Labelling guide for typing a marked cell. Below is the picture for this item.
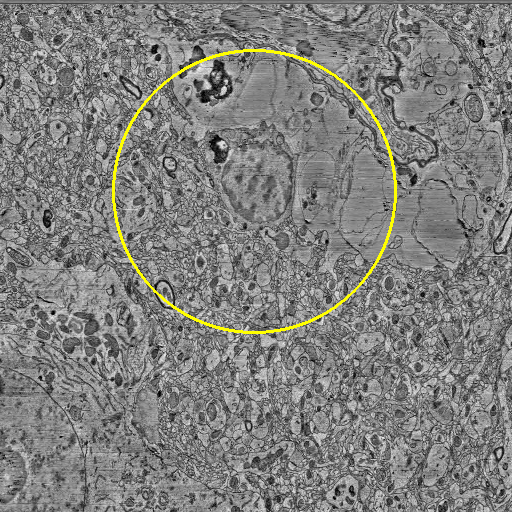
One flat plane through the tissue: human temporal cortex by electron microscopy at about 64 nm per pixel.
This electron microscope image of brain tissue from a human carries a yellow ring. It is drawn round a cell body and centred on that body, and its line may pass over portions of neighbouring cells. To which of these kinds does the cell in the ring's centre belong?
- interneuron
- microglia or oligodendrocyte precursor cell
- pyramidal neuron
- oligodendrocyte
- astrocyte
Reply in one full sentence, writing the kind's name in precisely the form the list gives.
Here we have an oligodendrocyte at the centre of the yellow ring in the picture.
